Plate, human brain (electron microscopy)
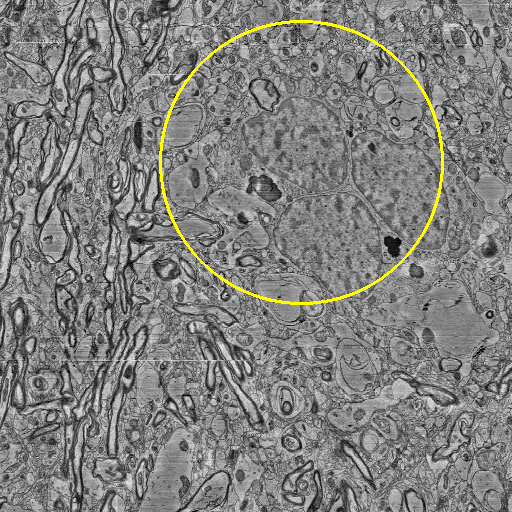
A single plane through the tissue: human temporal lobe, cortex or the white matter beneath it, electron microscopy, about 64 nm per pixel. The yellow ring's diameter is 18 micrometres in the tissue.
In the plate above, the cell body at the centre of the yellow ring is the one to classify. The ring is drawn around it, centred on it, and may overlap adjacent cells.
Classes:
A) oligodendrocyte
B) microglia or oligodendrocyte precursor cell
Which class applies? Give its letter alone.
A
